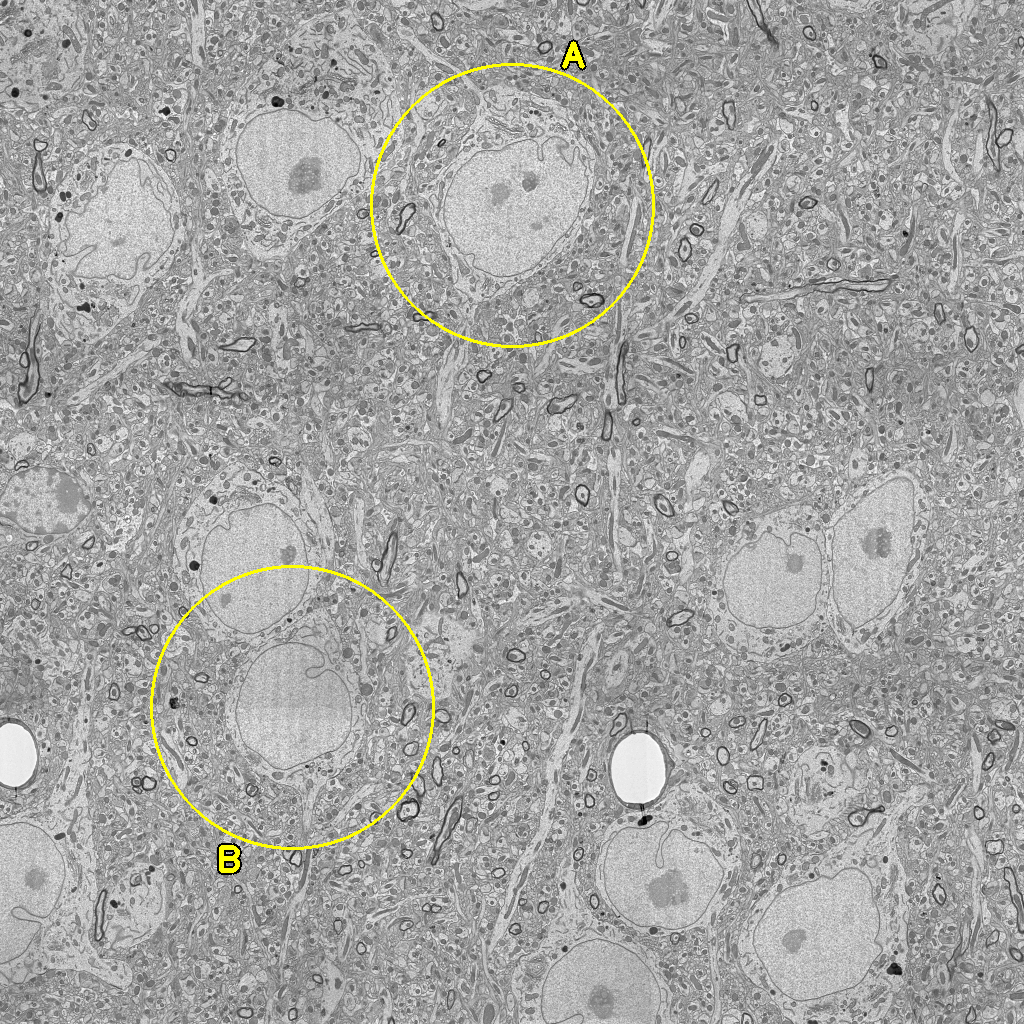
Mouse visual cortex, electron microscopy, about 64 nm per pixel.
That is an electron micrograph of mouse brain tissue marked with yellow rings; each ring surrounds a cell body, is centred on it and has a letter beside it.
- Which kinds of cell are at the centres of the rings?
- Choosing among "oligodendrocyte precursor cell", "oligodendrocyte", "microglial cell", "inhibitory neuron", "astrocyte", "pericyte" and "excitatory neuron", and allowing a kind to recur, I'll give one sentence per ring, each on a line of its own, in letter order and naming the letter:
Ring A sits around an inhibitory neuron.
Ring B sits around an excitatory neuron.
